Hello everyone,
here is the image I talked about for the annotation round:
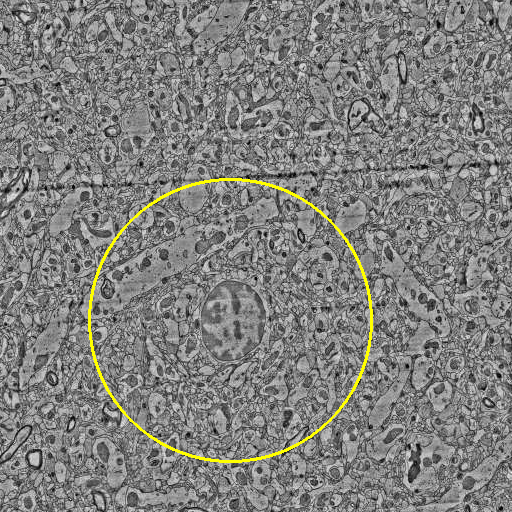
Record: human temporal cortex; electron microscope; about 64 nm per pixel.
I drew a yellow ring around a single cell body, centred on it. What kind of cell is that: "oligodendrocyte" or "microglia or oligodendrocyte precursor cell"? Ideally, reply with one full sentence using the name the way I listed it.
The cell your yellow ring is centred on is a microglial cell or oligodendrocyte precursor cell, going by your list.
